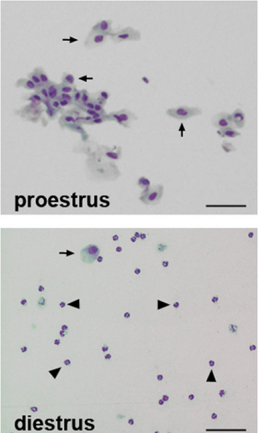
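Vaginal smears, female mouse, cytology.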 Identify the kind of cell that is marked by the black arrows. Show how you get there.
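Nucleated epithelial cells. Arrows point to large flat cells with broad pale cytoplasm. Each marked cell holds a single purple nucleus. These cells form clusters in the upper image.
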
